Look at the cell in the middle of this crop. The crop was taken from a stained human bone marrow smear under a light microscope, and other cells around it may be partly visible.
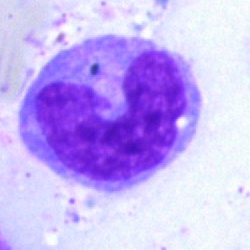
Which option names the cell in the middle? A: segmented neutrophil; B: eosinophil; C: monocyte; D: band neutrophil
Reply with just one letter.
C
